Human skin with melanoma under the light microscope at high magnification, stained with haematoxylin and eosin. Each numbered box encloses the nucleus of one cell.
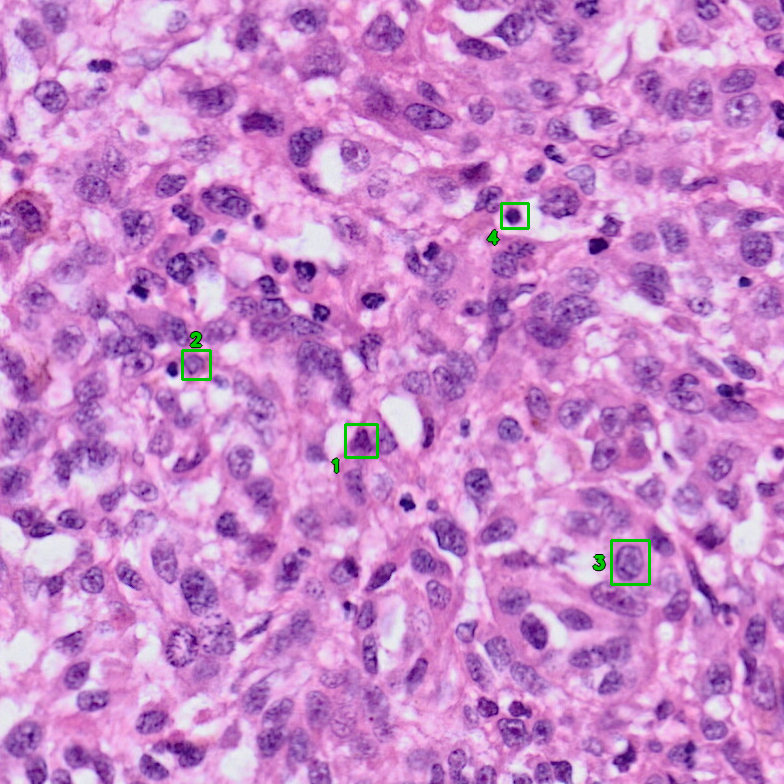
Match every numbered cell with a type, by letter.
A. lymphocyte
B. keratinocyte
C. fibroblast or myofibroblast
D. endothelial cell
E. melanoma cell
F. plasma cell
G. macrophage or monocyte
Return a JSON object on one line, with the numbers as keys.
{"1": "E", "2": "G", "3": "E", "4": "A"}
